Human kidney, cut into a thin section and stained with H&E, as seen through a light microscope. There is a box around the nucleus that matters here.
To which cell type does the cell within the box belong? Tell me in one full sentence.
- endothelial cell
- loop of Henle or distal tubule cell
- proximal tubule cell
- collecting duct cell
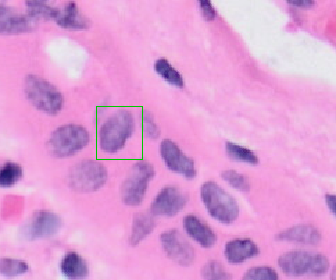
In this preparation, the cell within the box is a collecting duct cell.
